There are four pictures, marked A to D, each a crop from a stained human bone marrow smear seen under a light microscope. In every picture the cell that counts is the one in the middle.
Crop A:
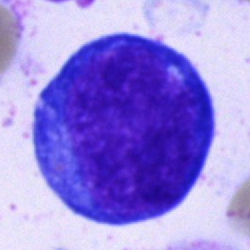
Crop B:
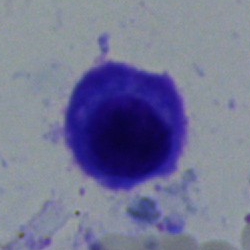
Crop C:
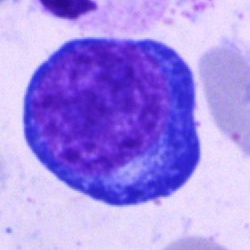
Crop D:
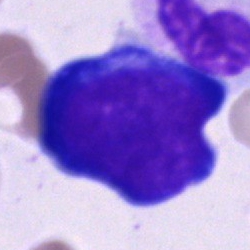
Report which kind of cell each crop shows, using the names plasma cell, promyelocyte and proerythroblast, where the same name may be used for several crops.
A: proerythroblast
B: plasma cell
C: proerythroblast
D: proerythroblast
